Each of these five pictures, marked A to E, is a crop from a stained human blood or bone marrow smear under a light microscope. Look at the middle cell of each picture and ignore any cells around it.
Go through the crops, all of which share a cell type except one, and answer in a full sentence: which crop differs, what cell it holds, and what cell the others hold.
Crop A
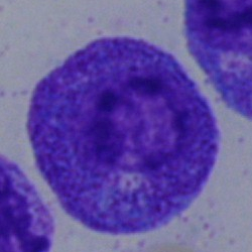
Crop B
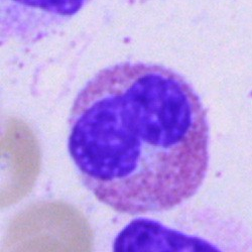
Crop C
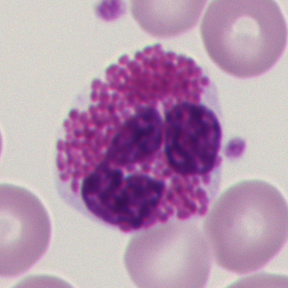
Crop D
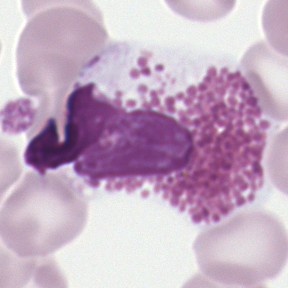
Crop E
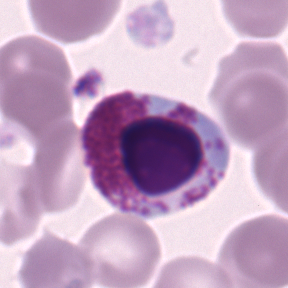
Crop A is a promyelocyte, the one exception to the eosinophils of the other crops.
